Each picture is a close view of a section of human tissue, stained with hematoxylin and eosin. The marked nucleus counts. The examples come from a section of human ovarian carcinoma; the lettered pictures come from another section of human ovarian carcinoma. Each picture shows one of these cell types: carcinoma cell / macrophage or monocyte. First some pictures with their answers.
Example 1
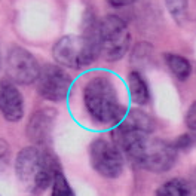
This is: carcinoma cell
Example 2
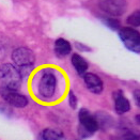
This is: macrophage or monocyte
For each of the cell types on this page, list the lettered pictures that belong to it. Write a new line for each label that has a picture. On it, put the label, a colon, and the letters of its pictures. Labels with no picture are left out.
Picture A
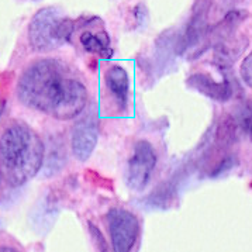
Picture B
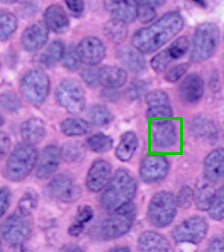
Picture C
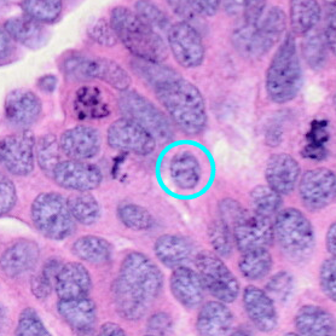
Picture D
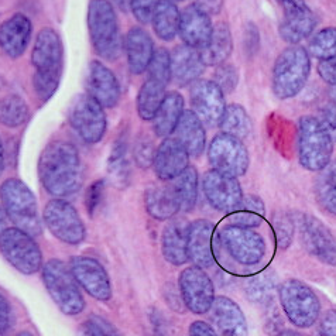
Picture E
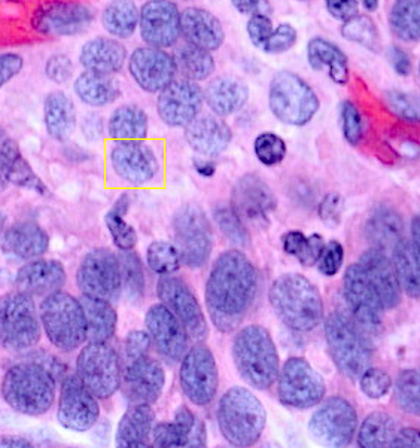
carcinoma cell: B, D, E
macrophage or monocyte: A, C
